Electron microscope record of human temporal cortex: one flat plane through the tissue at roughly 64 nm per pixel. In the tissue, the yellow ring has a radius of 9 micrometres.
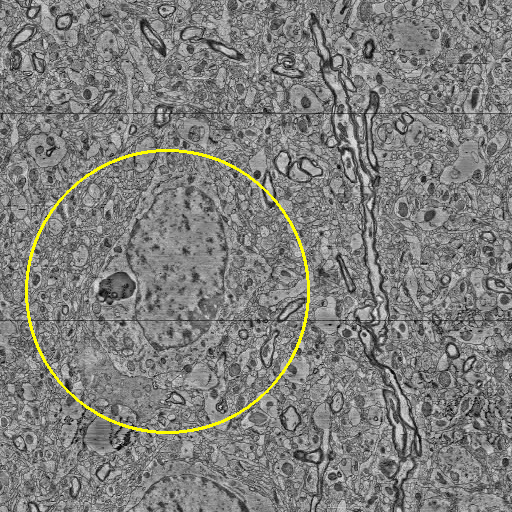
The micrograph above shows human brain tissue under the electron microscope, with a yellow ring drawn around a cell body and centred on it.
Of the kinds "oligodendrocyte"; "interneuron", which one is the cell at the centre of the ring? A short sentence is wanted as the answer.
The one at the centre of the ring is an interneuron.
